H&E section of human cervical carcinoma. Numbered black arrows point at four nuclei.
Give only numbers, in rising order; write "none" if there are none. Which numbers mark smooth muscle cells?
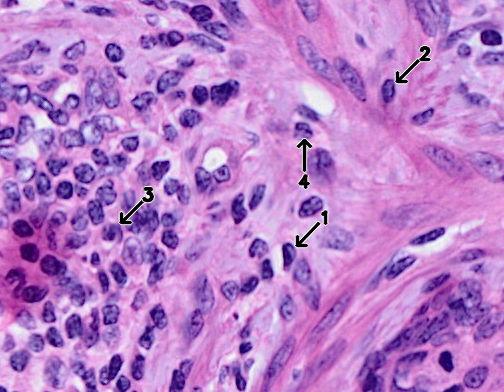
2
